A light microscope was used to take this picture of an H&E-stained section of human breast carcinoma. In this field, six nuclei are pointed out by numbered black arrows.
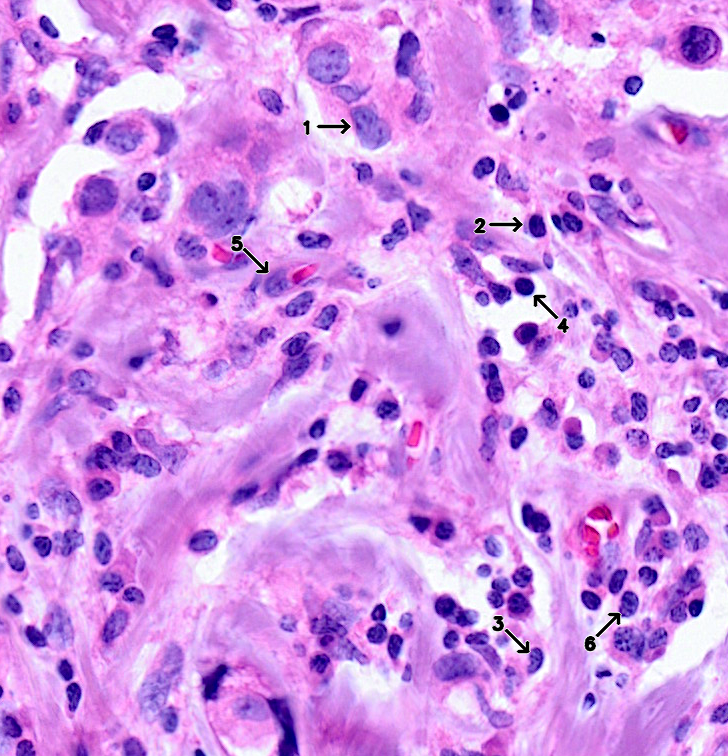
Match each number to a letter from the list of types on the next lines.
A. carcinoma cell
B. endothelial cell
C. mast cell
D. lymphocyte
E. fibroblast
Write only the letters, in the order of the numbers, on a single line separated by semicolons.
A; D; D; D; B; D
